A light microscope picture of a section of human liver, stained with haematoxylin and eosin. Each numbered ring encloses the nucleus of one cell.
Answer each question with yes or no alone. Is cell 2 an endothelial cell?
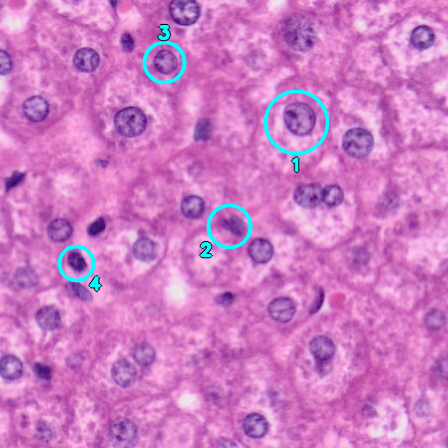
yes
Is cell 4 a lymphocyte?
yes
